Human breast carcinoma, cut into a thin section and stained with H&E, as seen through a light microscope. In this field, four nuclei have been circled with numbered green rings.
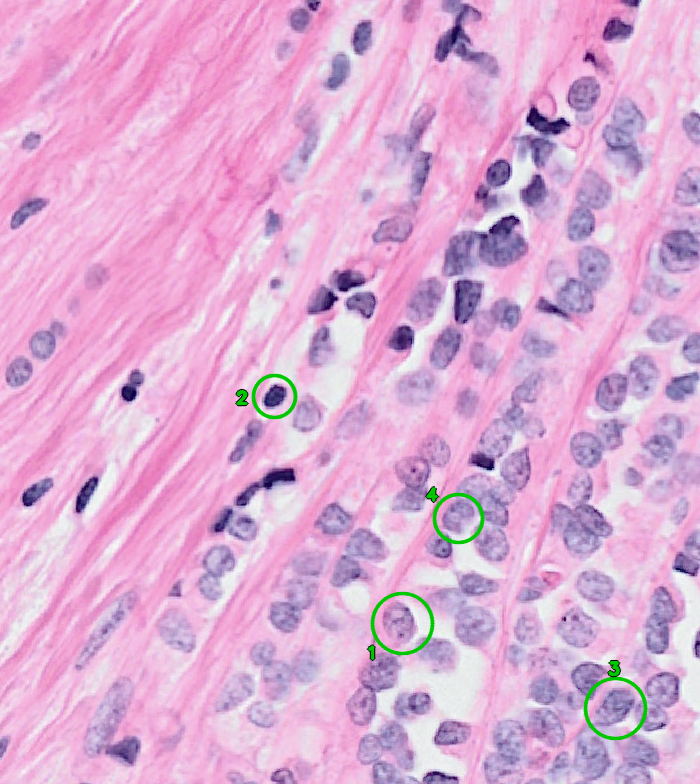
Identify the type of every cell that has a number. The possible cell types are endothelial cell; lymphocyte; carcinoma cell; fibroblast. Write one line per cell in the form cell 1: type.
cell 1: carcinoma cell
cell 2: lymphocyte
cell 3: carcinoma cell
cell 4: carcinoma cell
